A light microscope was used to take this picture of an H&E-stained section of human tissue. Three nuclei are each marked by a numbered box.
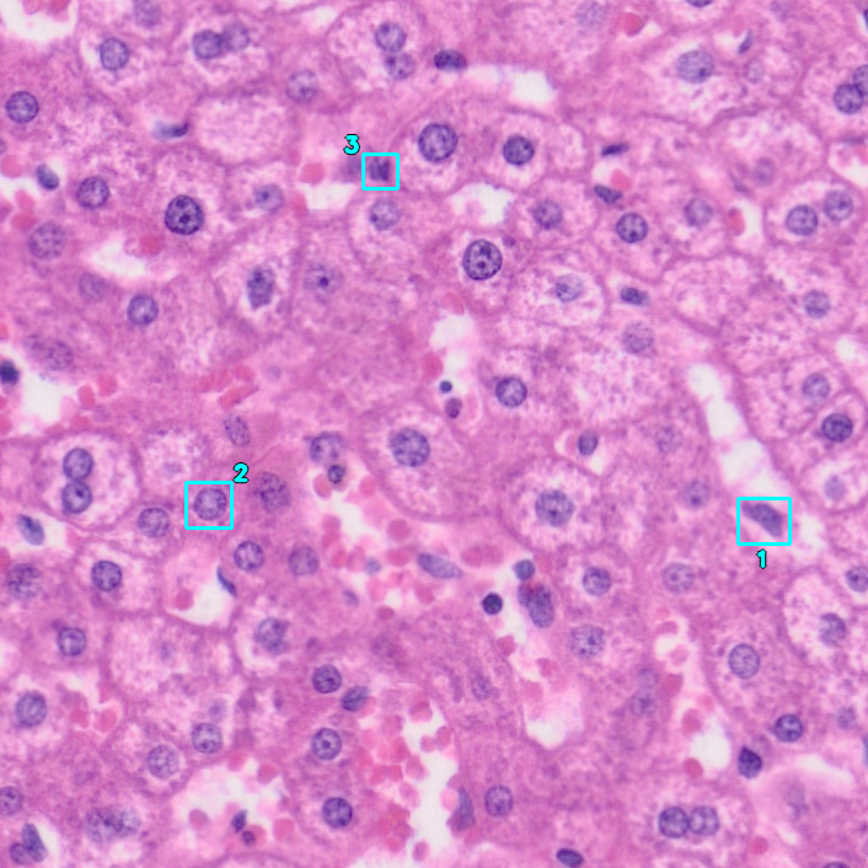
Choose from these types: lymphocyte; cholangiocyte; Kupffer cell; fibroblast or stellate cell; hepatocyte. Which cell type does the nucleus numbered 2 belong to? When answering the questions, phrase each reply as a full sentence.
The numeral 2 marks a hepatocyte in this section.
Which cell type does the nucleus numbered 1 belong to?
Cell 1, among those numbered, is a Kupffer cell.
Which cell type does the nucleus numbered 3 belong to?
The cell pointed out by number 3 is a fibroblast or stellate cell.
